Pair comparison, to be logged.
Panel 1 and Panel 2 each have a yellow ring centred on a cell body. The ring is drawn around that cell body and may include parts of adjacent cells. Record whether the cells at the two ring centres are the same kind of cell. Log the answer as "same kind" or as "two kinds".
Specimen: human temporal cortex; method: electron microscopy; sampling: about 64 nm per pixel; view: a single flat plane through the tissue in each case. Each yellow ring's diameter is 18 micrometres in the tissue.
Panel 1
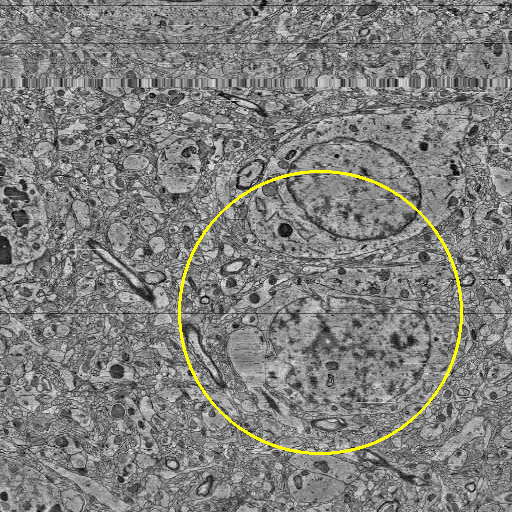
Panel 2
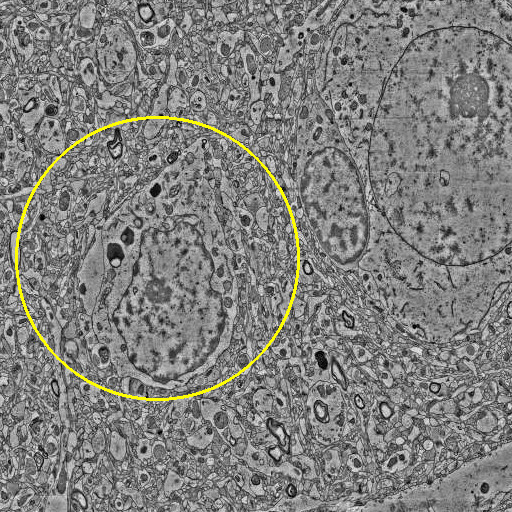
same kind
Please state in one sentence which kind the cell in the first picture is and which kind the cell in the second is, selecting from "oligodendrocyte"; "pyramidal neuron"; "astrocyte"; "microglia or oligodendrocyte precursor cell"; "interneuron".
Each of the two cells is an interneuron.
